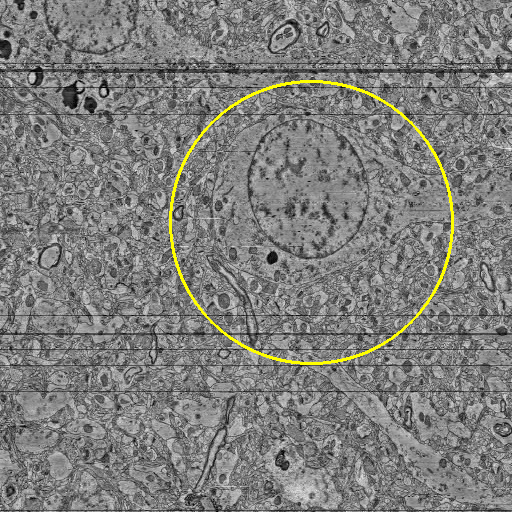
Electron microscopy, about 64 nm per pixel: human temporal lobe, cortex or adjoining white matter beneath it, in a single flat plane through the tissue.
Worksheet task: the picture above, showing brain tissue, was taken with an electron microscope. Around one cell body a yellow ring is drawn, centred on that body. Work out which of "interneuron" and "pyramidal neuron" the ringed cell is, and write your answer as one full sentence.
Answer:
It is a pyramidal neuron whose cell body lies at the centre of the yellow ring.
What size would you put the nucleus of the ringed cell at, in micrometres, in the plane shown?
The nucleus is approximately 9 micrometers long by 8 micrometers wide in this plane.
